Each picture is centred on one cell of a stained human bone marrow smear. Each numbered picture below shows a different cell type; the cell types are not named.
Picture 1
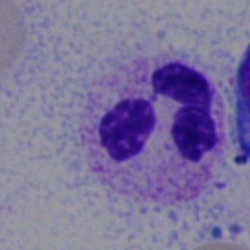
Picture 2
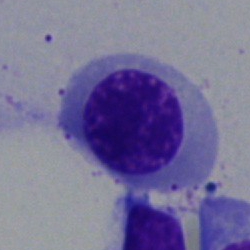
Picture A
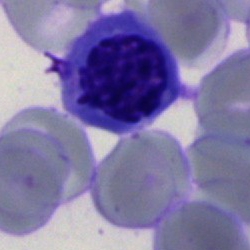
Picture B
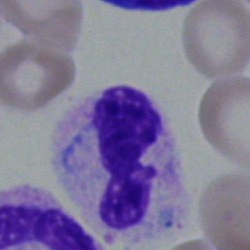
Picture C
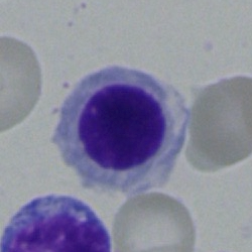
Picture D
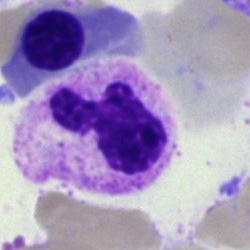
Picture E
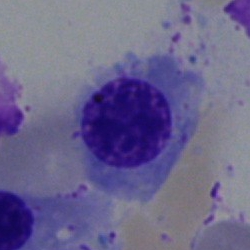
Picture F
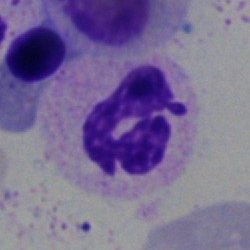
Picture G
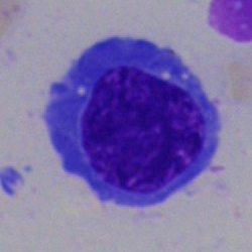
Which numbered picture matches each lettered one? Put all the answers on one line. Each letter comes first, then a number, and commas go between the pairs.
A 2, B 1, C 2, D 1, E 2, F 1, G 2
